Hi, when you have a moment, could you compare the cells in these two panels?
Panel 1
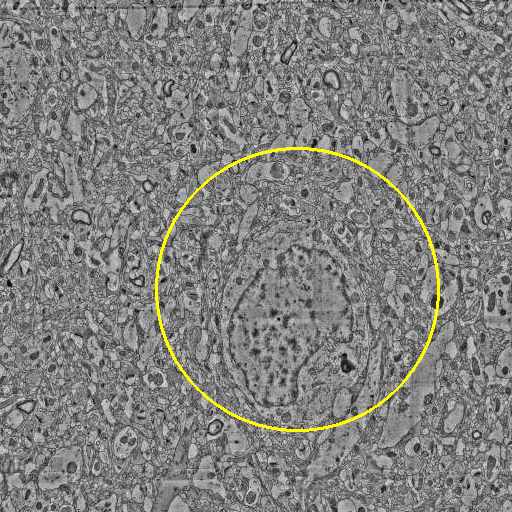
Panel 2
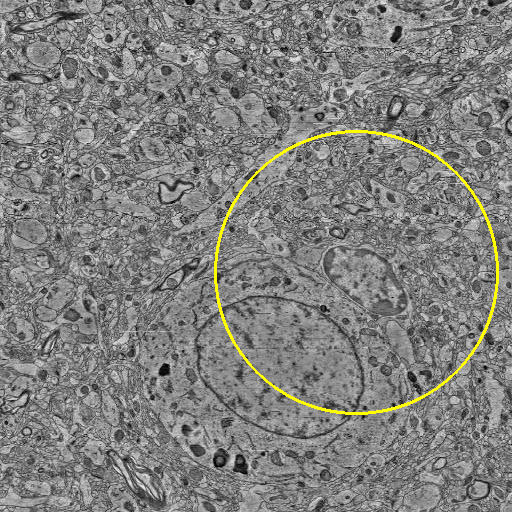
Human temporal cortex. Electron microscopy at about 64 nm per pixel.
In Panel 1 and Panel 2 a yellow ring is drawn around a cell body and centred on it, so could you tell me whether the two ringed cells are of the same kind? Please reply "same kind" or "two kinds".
two kinds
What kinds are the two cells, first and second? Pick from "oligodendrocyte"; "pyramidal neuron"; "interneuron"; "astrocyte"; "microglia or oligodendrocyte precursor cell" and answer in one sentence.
The second picture holds a microglial cell or oligodendrocyte precursor cell in its ring, and the first holds an interneuron.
